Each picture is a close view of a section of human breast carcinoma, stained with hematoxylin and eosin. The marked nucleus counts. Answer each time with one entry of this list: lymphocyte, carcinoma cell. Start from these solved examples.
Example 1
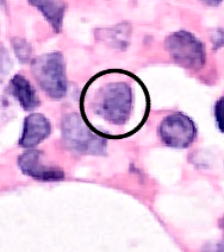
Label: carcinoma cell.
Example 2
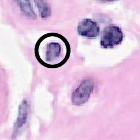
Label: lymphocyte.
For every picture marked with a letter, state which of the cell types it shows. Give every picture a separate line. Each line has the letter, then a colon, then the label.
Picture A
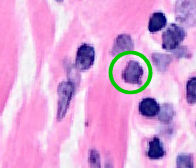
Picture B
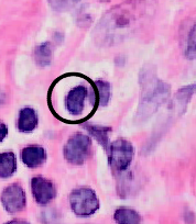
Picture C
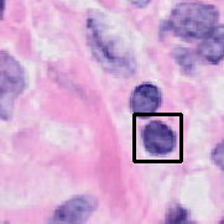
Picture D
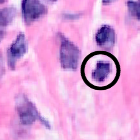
A: lymphocyte.
B: lymphocyte.
C: carcinoma cell.
D: lymphocyte.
